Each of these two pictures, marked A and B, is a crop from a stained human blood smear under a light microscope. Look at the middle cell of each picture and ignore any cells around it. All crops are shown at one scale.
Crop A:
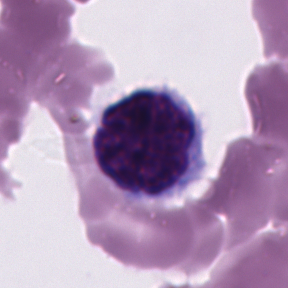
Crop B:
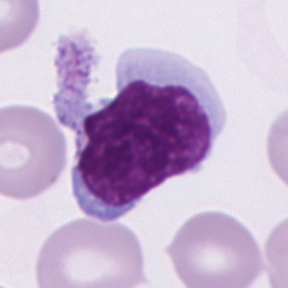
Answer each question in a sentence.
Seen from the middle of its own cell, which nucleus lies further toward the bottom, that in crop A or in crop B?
Seen within its cell, the nucleus in crop B lies further toward the bottom.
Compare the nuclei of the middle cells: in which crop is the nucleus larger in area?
It is the nucleus in crop B, about 1.5 times as large in area as the one in crop A.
